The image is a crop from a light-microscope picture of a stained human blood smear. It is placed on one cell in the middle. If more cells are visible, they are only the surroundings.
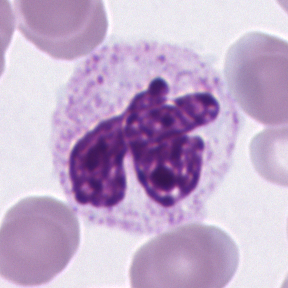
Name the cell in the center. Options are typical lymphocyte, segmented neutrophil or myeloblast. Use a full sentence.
On this slide crop, the central cell is a segmented neutrophil.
